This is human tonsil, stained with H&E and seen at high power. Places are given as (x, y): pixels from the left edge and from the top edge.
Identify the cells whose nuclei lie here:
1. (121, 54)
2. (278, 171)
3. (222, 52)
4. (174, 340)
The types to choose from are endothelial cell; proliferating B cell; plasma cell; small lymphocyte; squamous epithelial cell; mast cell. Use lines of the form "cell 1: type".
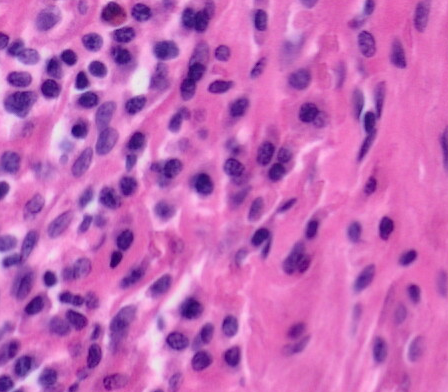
cell 1: plasma cell
cell 2: plasma cell
cell 3: mast cell
cell 4: plasma cell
